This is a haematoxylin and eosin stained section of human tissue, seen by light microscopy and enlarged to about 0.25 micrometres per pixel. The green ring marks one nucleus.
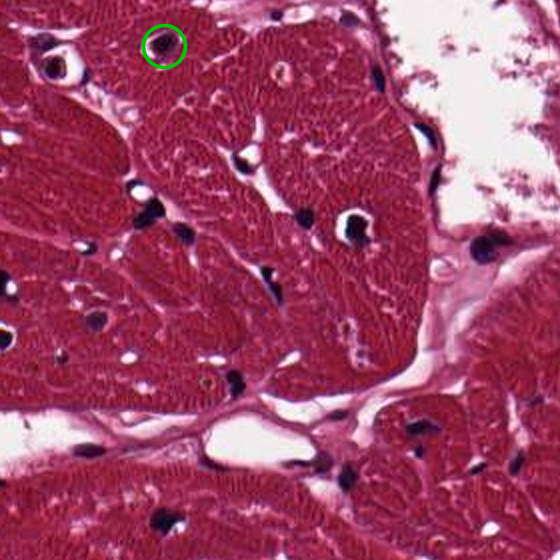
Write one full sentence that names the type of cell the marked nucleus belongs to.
Located in a cardiomyocyte is the marked nucleus.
